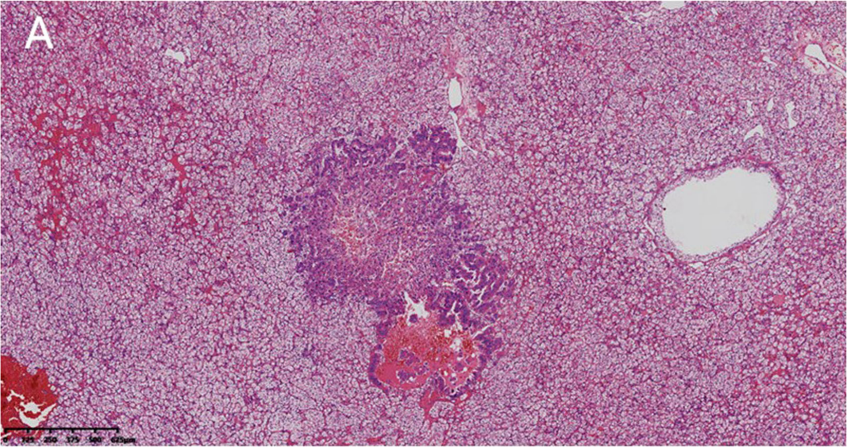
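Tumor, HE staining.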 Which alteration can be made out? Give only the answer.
Two distinct components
